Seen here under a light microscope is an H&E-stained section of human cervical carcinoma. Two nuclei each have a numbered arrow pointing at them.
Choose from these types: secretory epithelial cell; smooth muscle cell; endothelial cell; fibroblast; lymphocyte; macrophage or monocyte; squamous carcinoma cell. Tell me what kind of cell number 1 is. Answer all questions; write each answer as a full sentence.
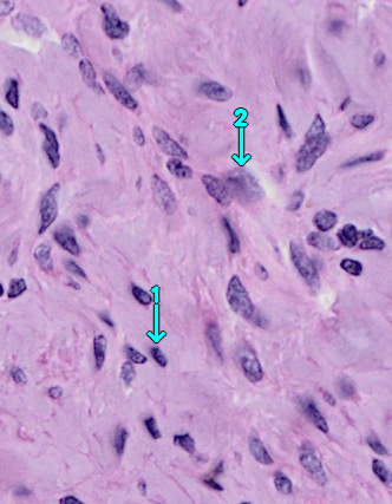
The cell identified by the number 1 is a fibroblast.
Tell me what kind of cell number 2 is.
Identified as an endothelial cell is the cell bearing the number 2.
